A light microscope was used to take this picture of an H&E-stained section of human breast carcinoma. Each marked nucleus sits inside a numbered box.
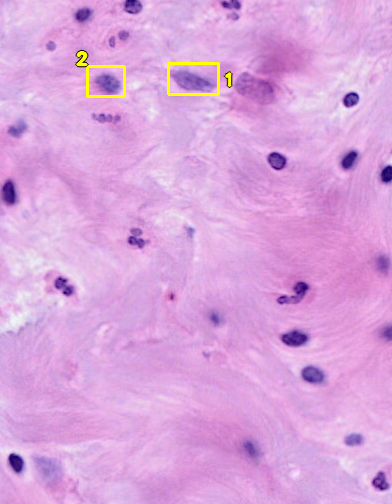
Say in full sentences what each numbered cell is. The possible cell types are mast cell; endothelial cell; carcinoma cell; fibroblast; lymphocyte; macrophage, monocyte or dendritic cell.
Cell 1 is a fibroblast. Cell 2 is a mast cell.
